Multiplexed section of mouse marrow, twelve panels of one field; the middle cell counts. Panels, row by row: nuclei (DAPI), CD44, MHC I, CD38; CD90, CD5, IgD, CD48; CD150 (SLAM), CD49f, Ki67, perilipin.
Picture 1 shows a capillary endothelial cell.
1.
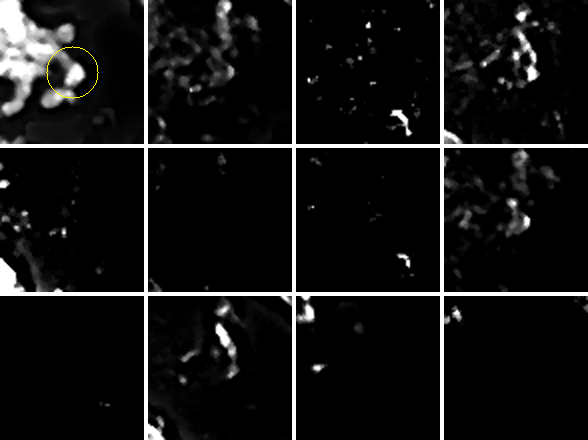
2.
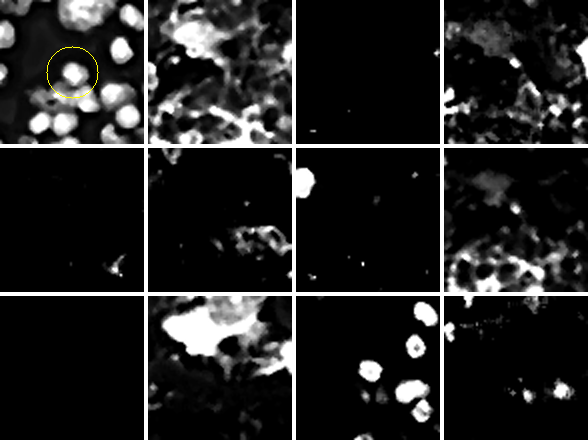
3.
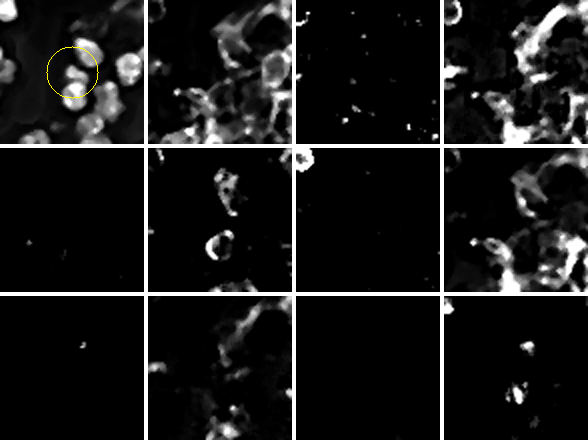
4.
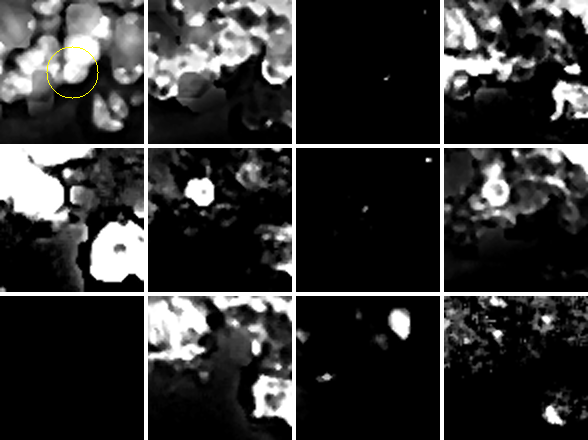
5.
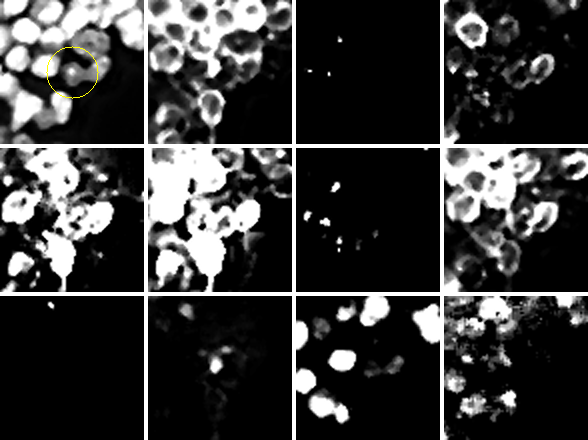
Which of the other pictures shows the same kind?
Picture 3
